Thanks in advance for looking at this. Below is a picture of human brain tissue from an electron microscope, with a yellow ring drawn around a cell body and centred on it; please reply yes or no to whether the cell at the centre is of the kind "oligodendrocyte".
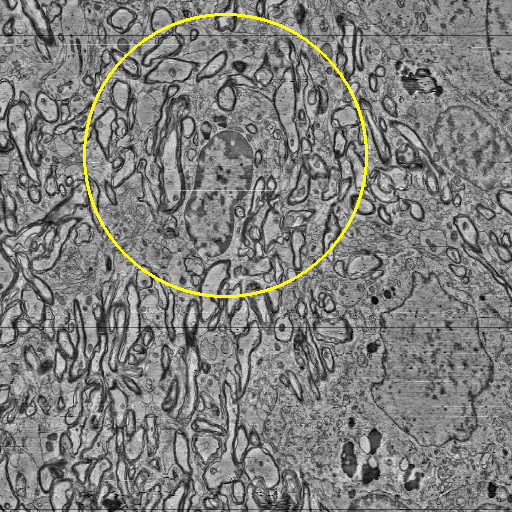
no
